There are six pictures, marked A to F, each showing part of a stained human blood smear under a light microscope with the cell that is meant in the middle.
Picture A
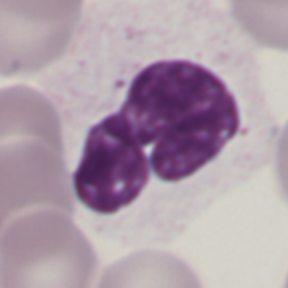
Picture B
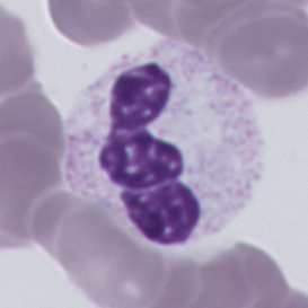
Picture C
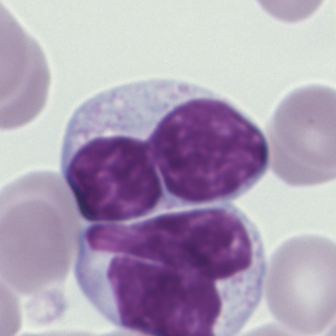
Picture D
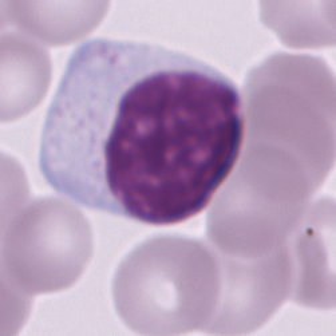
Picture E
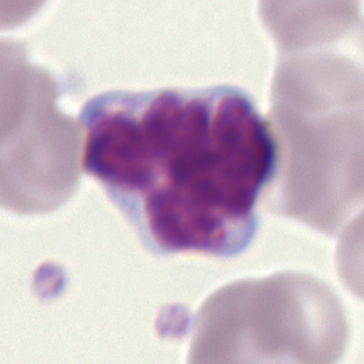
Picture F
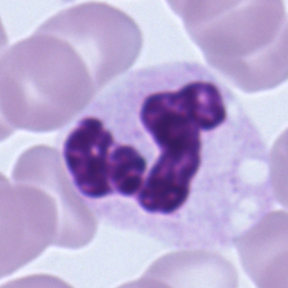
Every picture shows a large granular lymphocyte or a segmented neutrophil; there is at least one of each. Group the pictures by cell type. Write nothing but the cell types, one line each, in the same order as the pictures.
segmented neutrophil
segmented neutrophil
large granular lymphocyte
large granular lymphocyte
large granular lymphocyte
segmented neutrophil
